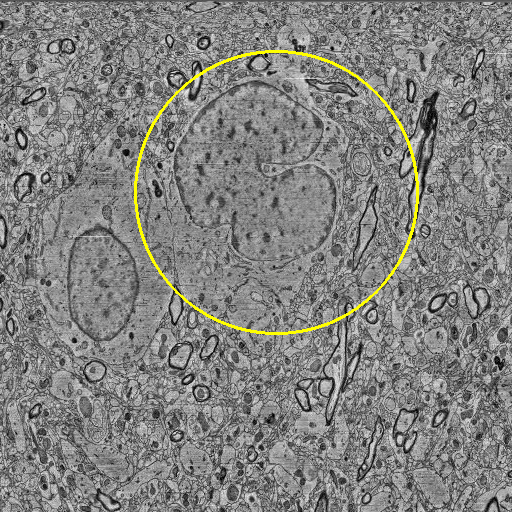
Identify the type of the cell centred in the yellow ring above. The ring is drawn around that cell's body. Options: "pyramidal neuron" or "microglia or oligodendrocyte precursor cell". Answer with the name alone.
microglia or oligodendrocyte precursor cell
